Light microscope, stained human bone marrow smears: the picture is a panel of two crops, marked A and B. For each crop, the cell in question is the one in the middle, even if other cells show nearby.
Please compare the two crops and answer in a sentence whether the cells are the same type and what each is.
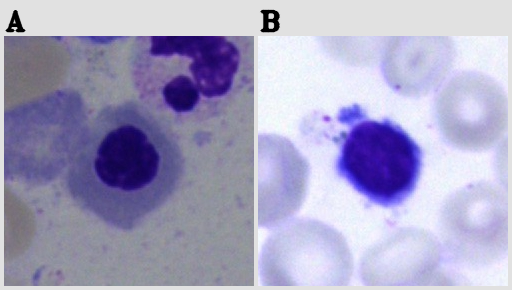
No, the cells are a normoblast in crop A and a lymphocyte in crop B.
